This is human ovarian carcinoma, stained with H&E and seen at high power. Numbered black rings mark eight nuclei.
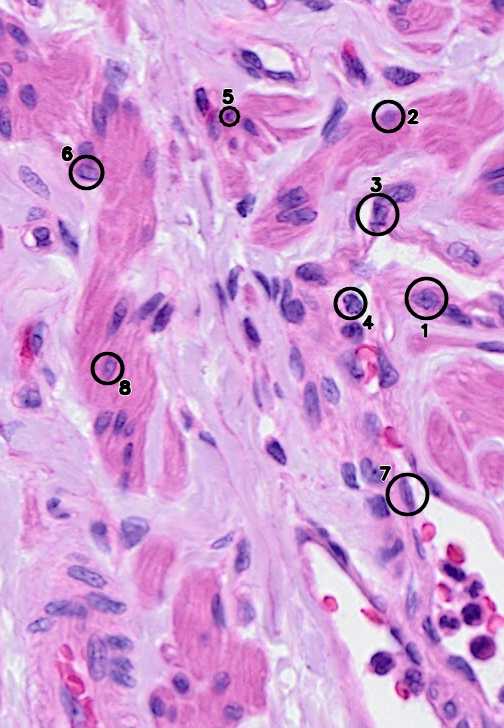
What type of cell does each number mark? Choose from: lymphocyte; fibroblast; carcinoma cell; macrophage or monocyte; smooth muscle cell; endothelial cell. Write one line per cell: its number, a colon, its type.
1: endothelial cell
2: smooth muscle cell
3: endothelial cell
4: lymphocyte
5: smooth muscle cell
6: smooth muscle cell
7: endothelial cell
8: smooth muscle cell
